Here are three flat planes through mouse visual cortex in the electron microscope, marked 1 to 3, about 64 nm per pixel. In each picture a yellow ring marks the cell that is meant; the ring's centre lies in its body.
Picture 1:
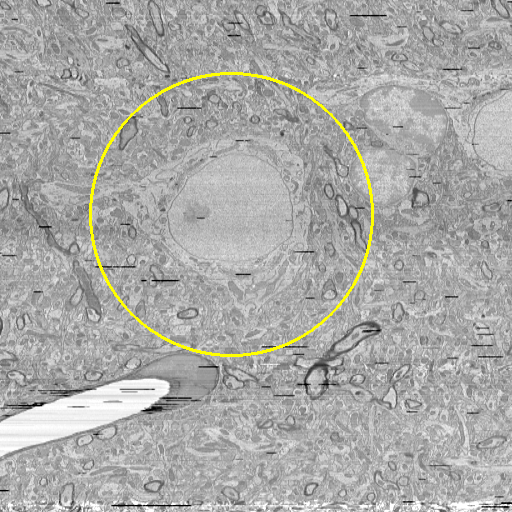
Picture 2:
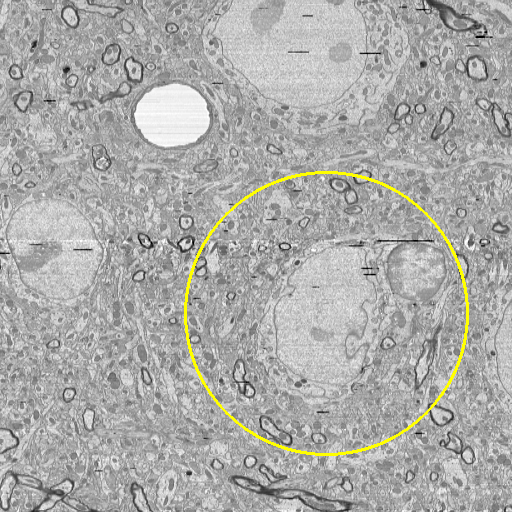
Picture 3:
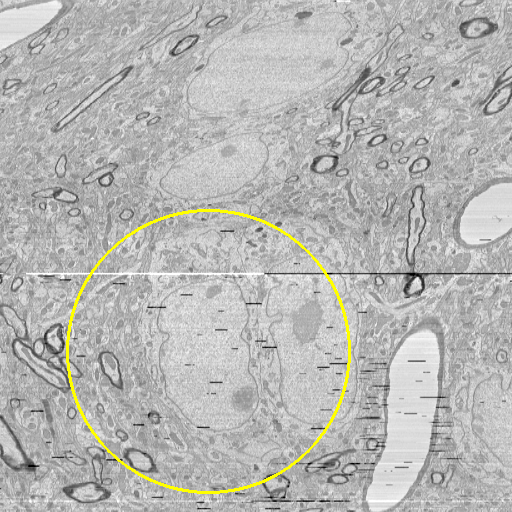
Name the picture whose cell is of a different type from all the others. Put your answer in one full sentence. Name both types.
The different one is picture 2; it shows an inhibitory neuron, whereas all the others show excitatory neurons.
